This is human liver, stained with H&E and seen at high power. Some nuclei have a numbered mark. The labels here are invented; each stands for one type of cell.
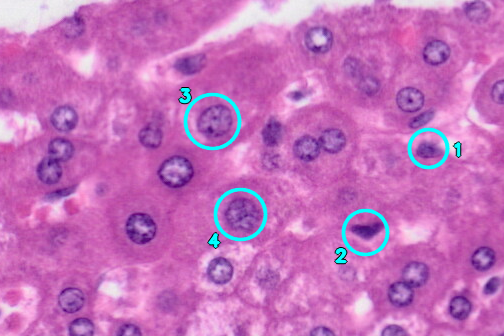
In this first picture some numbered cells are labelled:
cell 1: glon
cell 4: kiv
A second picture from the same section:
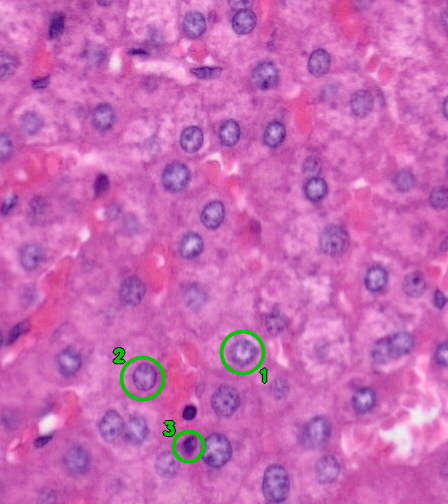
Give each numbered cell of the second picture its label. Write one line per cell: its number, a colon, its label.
1: kiv
2: kiv
3: glon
